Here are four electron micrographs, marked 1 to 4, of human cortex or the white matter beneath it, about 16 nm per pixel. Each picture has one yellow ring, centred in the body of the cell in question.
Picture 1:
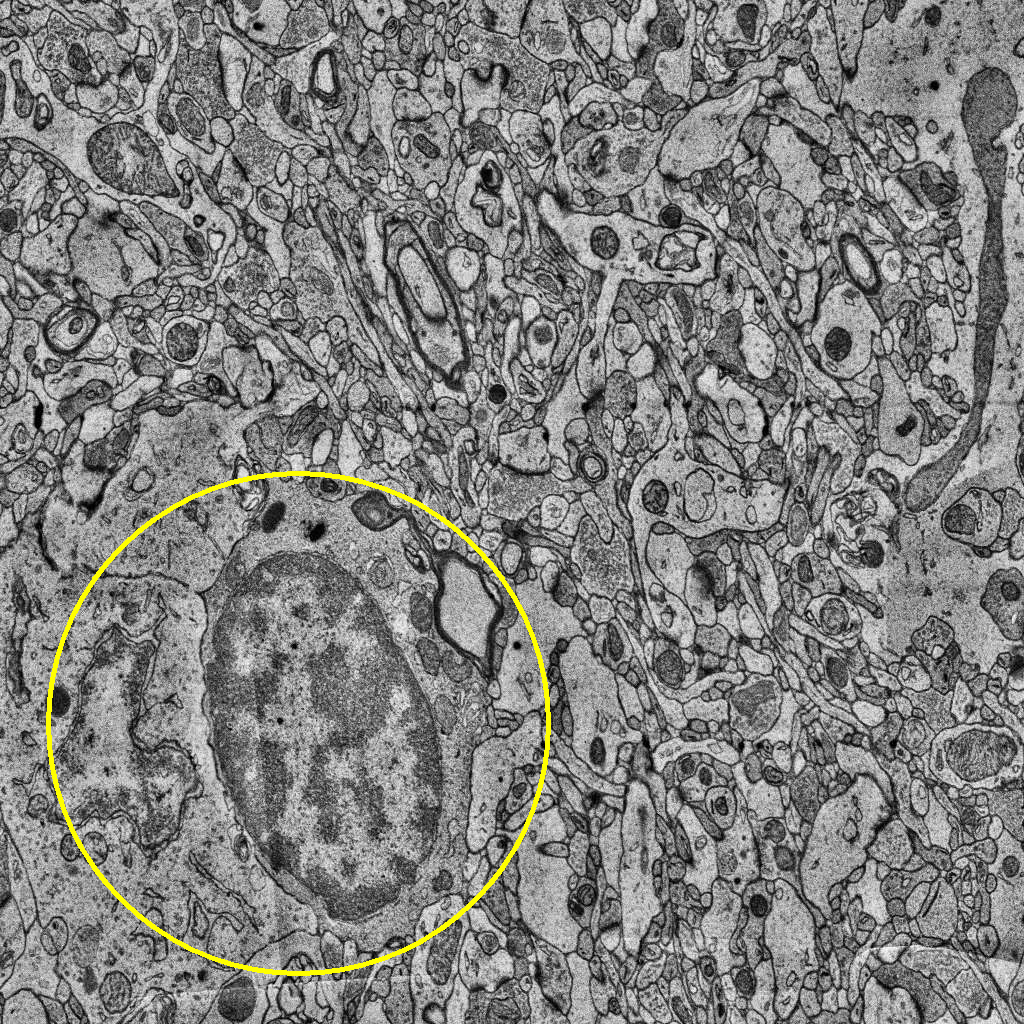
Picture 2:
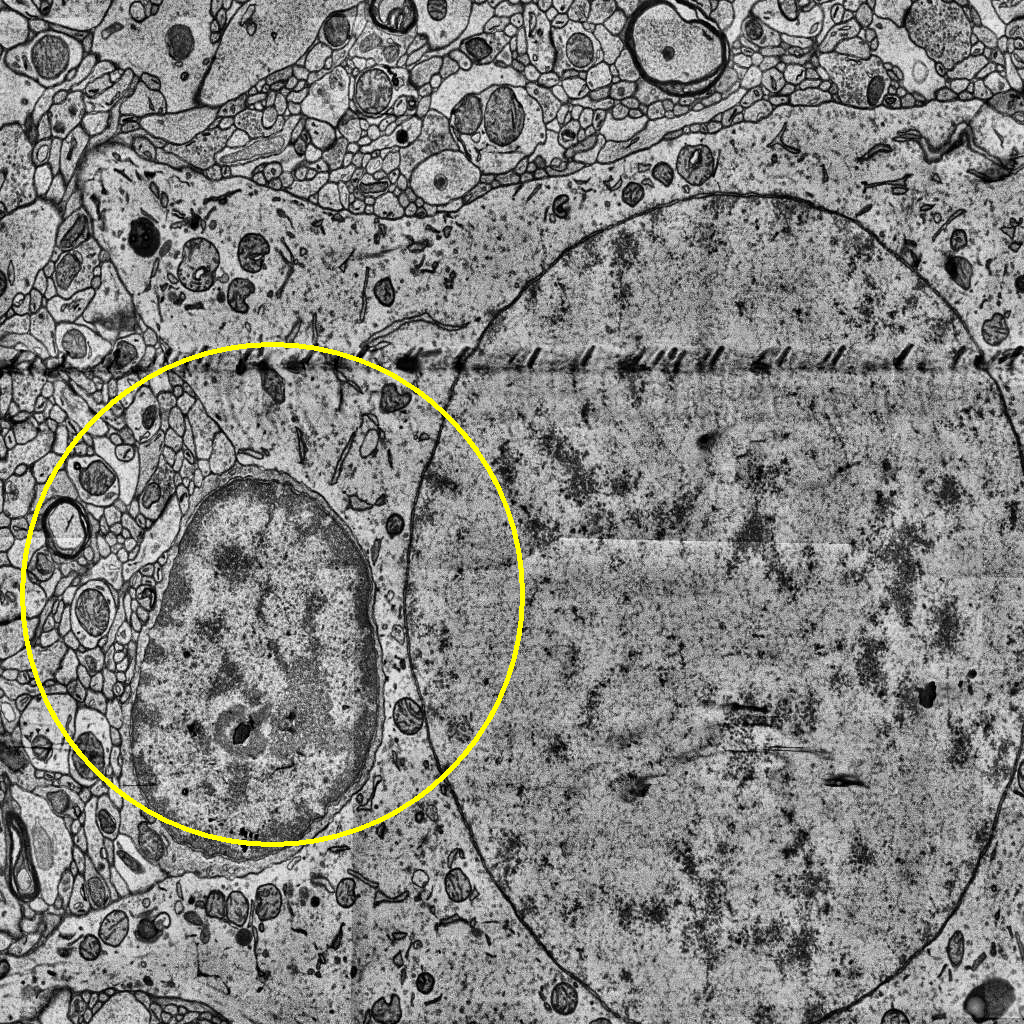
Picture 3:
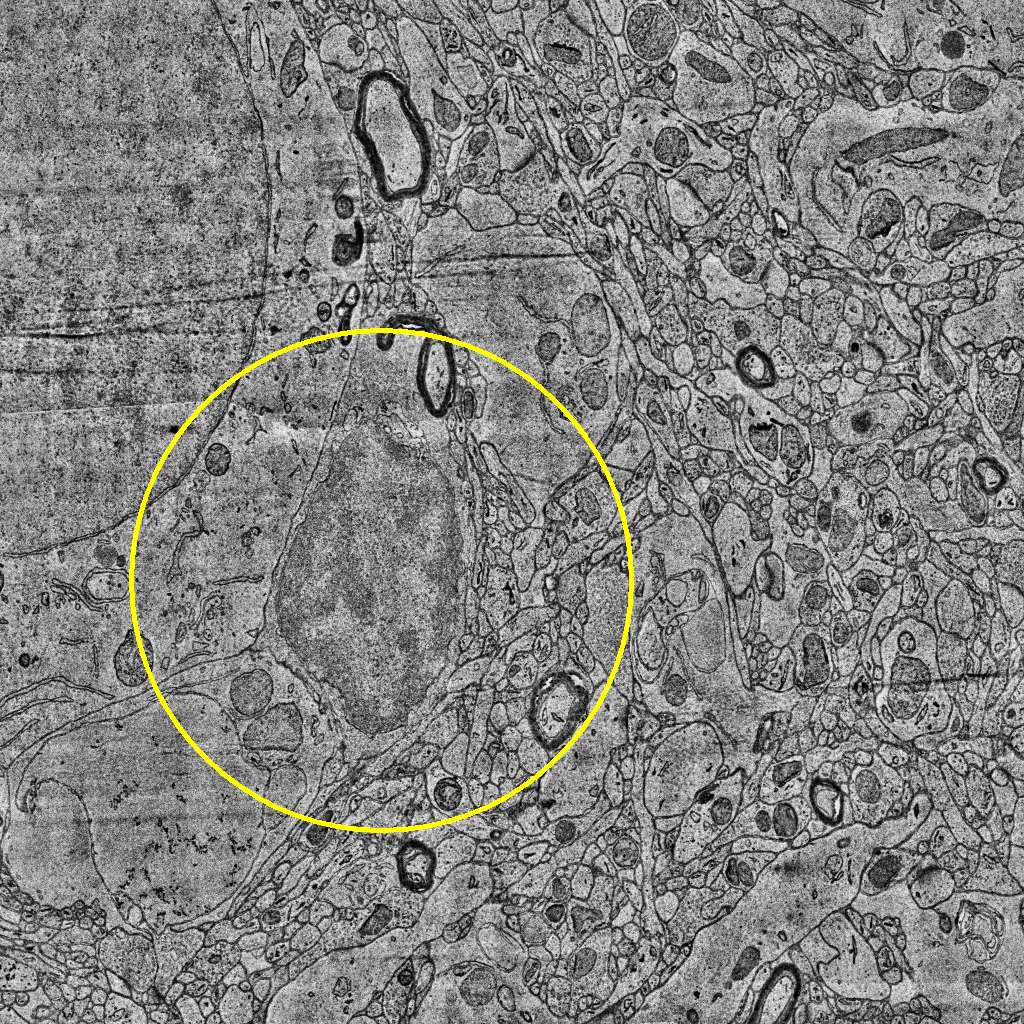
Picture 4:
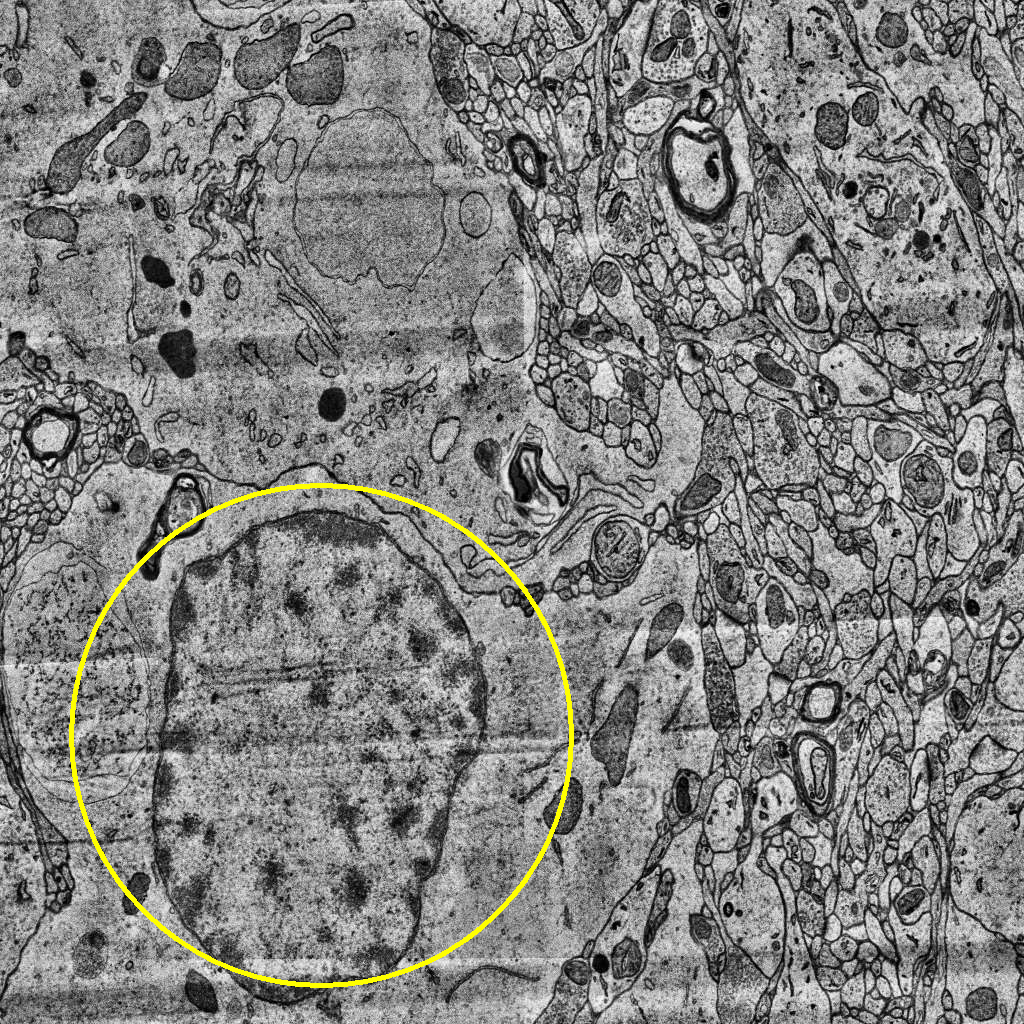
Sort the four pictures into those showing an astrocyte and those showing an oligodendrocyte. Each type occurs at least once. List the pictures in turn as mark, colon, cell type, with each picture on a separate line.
1: oligodendrocyte
2: oligodendrocyte
3: oligodendrocyte
4: astrocyte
